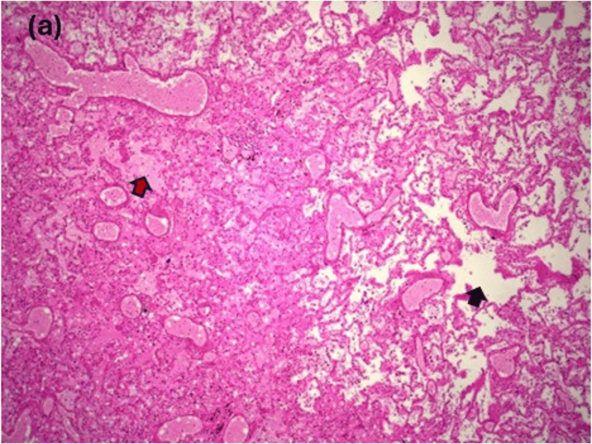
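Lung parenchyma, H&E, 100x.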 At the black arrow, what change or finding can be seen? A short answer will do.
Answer: Alveolar dilatation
